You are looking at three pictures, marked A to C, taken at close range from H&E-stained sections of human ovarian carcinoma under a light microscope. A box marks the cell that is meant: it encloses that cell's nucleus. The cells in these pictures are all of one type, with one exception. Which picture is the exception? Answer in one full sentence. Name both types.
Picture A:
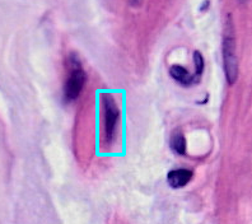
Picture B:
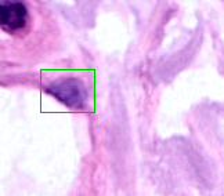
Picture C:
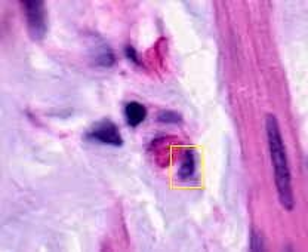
The different one is picture A; it shows a smooth muscle cell, whereas all the others show endothelial cells.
